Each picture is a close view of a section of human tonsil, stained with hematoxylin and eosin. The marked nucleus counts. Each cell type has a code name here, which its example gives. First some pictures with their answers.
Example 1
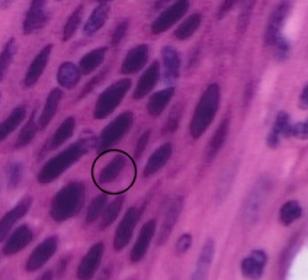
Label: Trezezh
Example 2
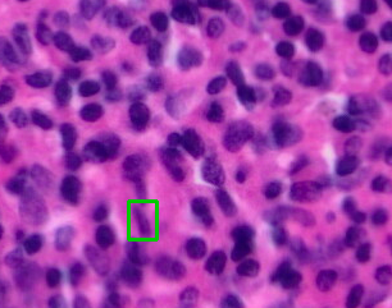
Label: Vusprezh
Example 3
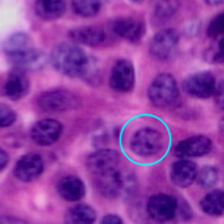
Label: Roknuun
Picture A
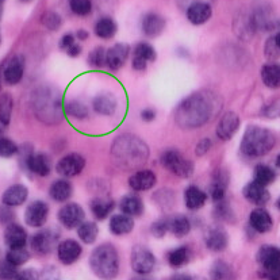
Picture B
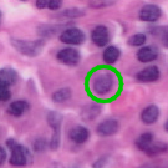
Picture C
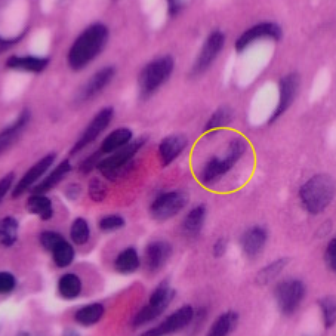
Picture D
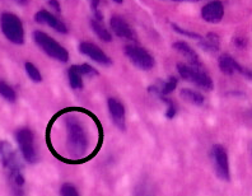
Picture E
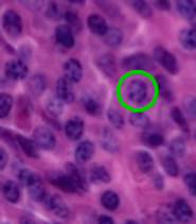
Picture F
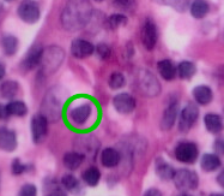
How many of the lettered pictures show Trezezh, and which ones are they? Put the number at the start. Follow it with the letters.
2, namely C, D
